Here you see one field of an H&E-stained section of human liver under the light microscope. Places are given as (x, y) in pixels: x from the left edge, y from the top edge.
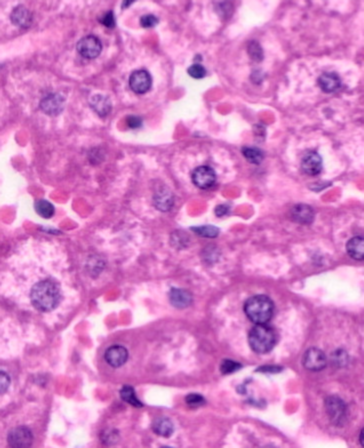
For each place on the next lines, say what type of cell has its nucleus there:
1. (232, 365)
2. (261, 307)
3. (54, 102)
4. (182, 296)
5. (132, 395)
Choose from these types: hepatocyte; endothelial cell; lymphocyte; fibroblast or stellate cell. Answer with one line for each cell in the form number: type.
1: fibroblast or stellate cell
2: hepatocyte
3: hepatocyte
4: endothelial cell
5: fibroblast or stellate cell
